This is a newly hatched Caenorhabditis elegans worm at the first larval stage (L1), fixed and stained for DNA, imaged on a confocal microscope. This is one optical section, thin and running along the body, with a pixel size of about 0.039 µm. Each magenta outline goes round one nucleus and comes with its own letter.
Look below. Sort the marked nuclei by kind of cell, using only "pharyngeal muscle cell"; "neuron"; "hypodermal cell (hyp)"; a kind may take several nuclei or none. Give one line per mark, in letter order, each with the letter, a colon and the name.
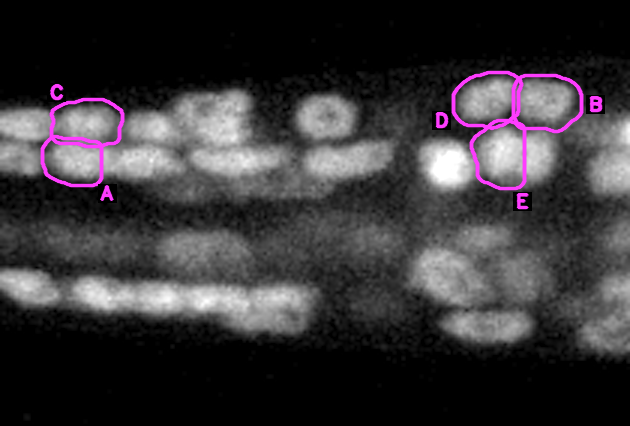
A: pharyngeal muscle cell
B: hypodermal cell (hyp)
C: hypodermal cell (hyp)
D: hypodermal cell (hyp)
E: neuron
